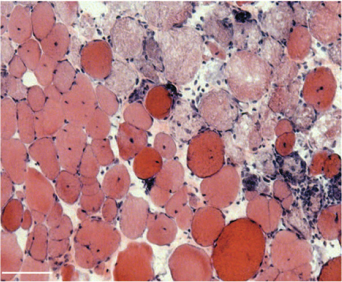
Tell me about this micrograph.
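This cross-section of skeletal muscle shows fibers of very unequal size, many with nuclei lying inside the fiber rather than at its edge. Some large round fibers stain a deeper, darker pink-red than their neighbours, while a group at upper right are pale, mottled and washed out. Clear gaps separate many fibers instead of the tight packing of normal muscle.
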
